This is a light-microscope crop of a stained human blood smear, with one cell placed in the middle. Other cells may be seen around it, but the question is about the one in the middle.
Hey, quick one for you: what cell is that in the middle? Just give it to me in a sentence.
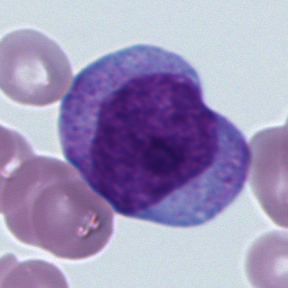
Regarding the central cell, it is an atypical promyelocyte.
